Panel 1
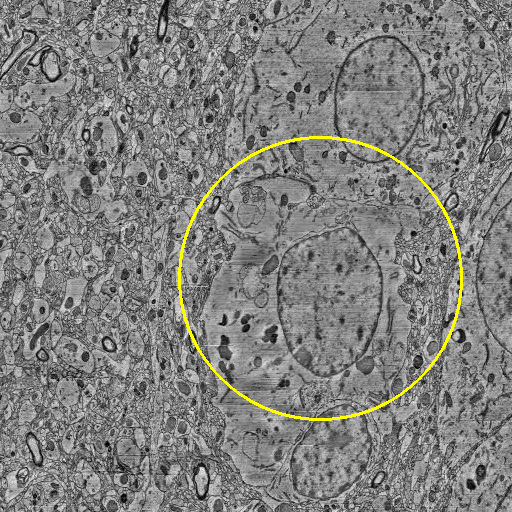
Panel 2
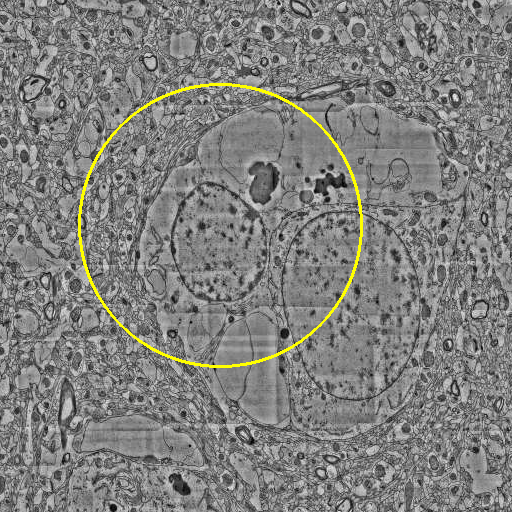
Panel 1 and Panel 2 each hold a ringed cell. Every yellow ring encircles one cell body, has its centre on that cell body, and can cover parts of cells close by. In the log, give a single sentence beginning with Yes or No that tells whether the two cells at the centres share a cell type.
Yes, in Panel 1 and Panel 2 the centred cells share a cell type.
